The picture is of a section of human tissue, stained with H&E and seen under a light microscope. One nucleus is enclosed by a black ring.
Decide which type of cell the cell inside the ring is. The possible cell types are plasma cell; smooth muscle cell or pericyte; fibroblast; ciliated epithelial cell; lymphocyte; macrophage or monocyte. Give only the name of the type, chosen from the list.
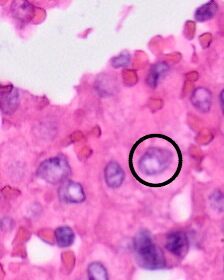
macrophage or monocyte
